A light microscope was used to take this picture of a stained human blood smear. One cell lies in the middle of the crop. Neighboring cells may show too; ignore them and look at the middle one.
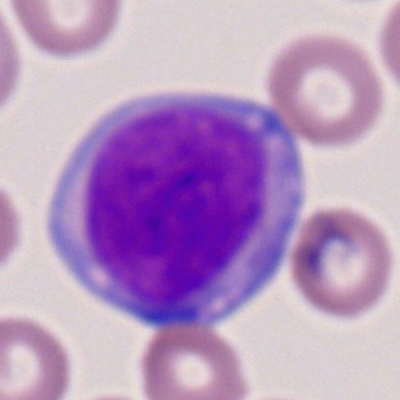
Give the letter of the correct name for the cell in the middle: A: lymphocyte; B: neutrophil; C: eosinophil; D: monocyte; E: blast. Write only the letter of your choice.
E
